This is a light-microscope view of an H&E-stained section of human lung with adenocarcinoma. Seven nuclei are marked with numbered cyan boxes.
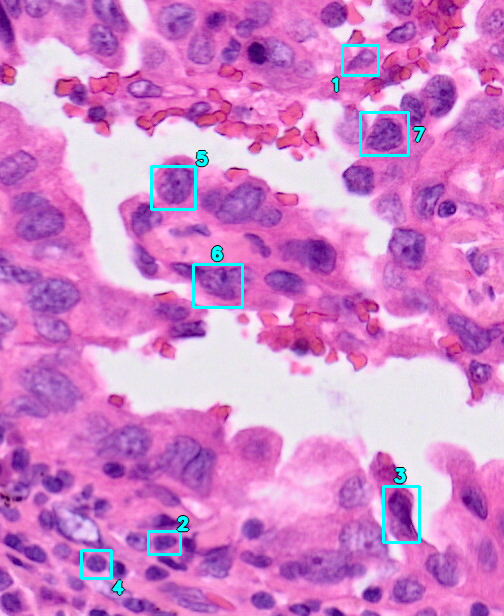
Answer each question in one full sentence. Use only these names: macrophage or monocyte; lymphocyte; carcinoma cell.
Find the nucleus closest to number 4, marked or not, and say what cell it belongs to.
Number 4 lies closest to the nucleus of a lymphocyte.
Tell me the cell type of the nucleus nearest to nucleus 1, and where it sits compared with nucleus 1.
A macrophage or monocyte lies closest, below and to the right of nucleus 1.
